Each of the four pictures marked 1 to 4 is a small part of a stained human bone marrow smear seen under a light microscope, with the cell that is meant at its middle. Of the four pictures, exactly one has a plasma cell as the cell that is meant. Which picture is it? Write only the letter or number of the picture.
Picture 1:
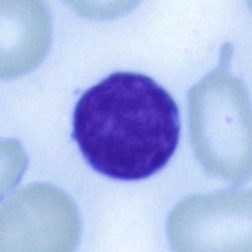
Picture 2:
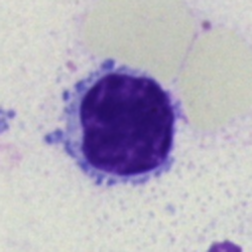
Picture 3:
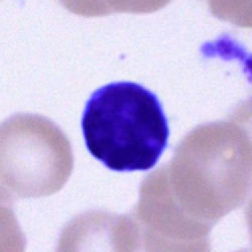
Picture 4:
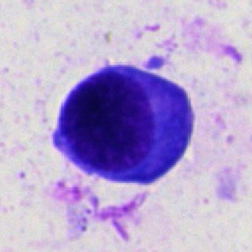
4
